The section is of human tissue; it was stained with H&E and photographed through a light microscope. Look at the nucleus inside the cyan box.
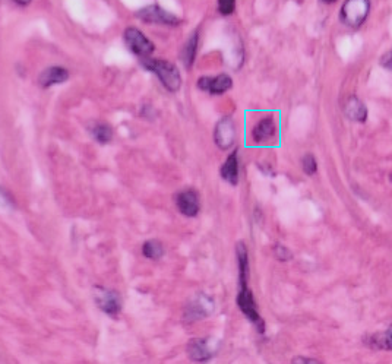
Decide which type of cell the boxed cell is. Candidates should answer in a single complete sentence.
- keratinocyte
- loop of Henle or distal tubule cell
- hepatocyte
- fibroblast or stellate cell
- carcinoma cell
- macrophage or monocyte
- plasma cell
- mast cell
In the tissue under study, the boxed cell is a mast cell.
